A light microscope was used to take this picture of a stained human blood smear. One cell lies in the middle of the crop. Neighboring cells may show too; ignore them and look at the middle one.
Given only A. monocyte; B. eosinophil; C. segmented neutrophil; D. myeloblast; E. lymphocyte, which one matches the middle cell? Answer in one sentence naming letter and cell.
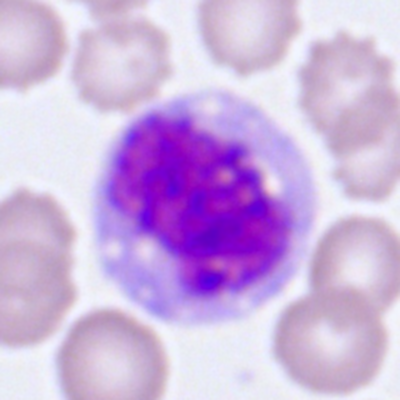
The central cell in this crop is a monocyte, corresponding to option A, the correct option.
